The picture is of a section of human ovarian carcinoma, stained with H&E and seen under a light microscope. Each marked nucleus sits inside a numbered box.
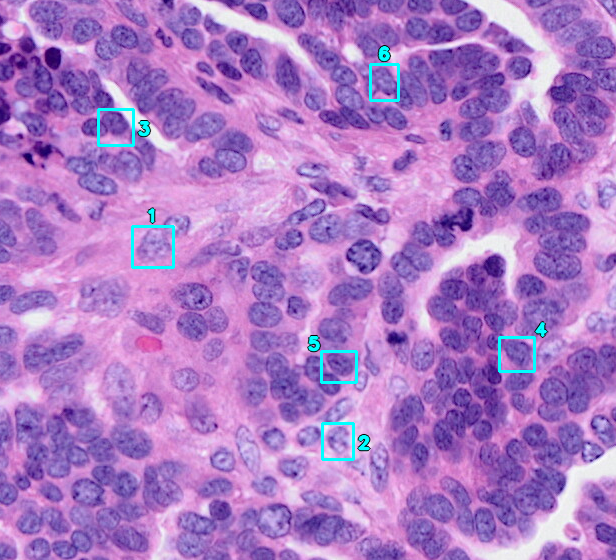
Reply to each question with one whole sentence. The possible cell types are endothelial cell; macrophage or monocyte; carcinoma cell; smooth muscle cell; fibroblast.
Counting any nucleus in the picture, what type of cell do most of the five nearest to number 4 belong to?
Most of the five nuclei nearest to number 4 are those of carcinoma cells.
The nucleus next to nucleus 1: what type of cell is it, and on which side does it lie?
Just above and to the right of nucleus 1 lies the nearest nucleus, which belongs to a fibroblast.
